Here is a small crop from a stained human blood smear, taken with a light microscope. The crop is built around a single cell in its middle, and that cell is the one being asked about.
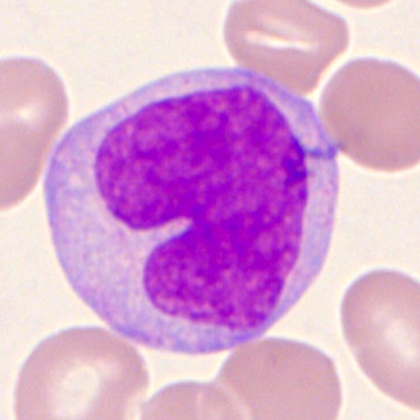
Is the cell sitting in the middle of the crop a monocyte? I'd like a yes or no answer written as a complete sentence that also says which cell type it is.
Yes, the cell right in the middle is a monocyte.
